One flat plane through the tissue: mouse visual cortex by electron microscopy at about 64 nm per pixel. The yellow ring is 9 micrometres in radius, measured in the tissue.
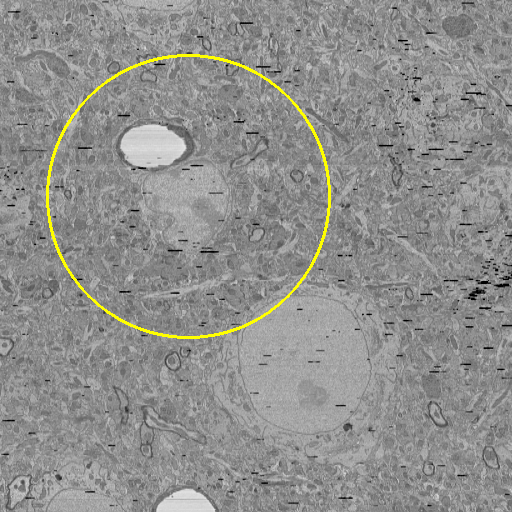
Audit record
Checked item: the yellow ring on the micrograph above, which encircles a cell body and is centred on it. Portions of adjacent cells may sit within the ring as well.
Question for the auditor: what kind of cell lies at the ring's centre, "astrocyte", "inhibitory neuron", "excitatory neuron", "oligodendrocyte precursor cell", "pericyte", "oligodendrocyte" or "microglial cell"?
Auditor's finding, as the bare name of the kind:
astrocyte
